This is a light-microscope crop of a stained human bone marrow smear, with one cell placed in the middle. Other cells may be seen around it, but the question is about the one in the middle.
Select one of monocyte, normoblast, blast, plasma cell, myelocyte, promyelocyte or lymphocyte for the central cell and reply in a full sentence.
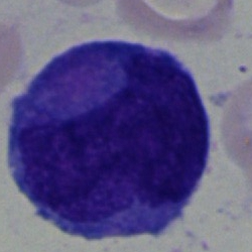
The target cell in the middle of the crop is a blast.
